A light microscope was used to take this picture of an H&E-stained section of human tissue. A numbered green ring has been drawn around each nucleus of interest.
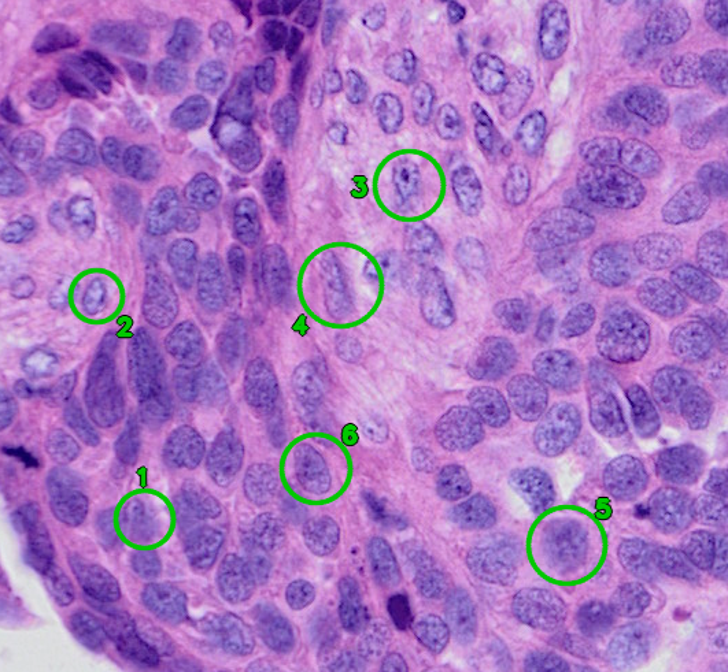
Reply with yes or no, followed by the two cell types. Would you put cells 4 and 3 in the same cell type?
Yes, in short, cells 4 and 3 are both fibroblasts.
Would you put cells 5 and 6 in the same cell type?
Yes, cells 5 and 6 are both termed carcinoma cells.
